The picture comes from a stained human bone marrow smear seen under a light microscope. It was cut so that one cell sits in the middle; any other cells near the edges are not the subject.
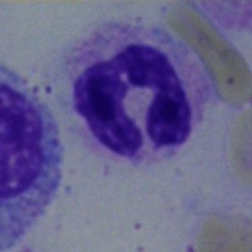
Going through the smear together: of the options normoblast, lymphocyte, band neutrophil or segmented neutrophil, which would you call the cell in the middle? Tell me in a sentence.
The cell at the heart of this crop is a segmented neutrophil.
